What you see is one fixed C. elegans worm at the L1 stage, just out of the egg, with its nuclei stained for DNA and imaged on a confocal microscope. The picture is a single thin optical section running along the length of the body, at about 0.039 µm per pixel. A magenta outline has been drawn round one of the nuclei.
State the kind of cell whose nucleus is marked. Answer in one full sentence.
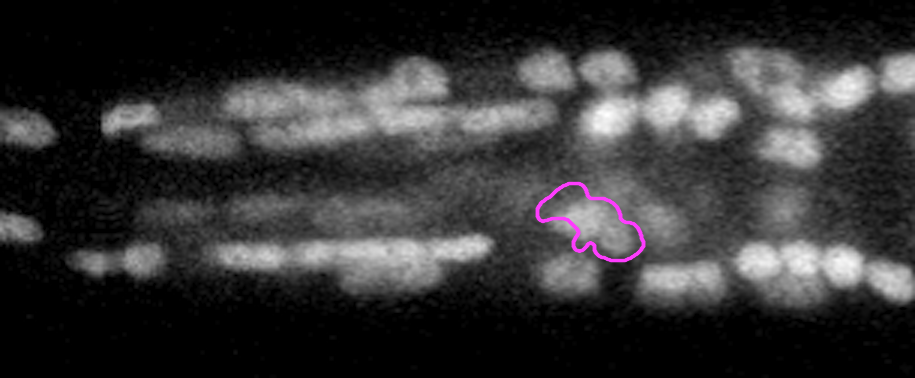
The marked cell is a pharyngeal marginal cell.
